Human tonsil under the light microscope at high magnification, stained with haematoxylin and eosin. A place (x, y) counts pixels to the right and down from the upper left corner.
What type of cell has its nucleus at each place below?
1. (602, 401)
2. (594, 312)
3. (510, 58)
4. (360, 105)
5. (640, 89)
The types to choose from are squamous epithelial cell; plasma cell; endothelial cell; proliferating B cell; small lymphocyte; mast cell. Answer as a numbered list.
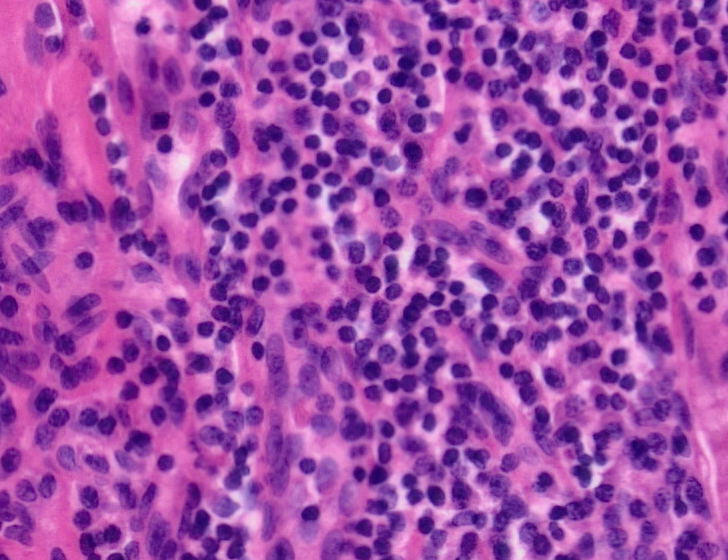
1. plasma cell
2. small lymphocyte
3. small lymphocyte
4. plasma cell
5. plasma cell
